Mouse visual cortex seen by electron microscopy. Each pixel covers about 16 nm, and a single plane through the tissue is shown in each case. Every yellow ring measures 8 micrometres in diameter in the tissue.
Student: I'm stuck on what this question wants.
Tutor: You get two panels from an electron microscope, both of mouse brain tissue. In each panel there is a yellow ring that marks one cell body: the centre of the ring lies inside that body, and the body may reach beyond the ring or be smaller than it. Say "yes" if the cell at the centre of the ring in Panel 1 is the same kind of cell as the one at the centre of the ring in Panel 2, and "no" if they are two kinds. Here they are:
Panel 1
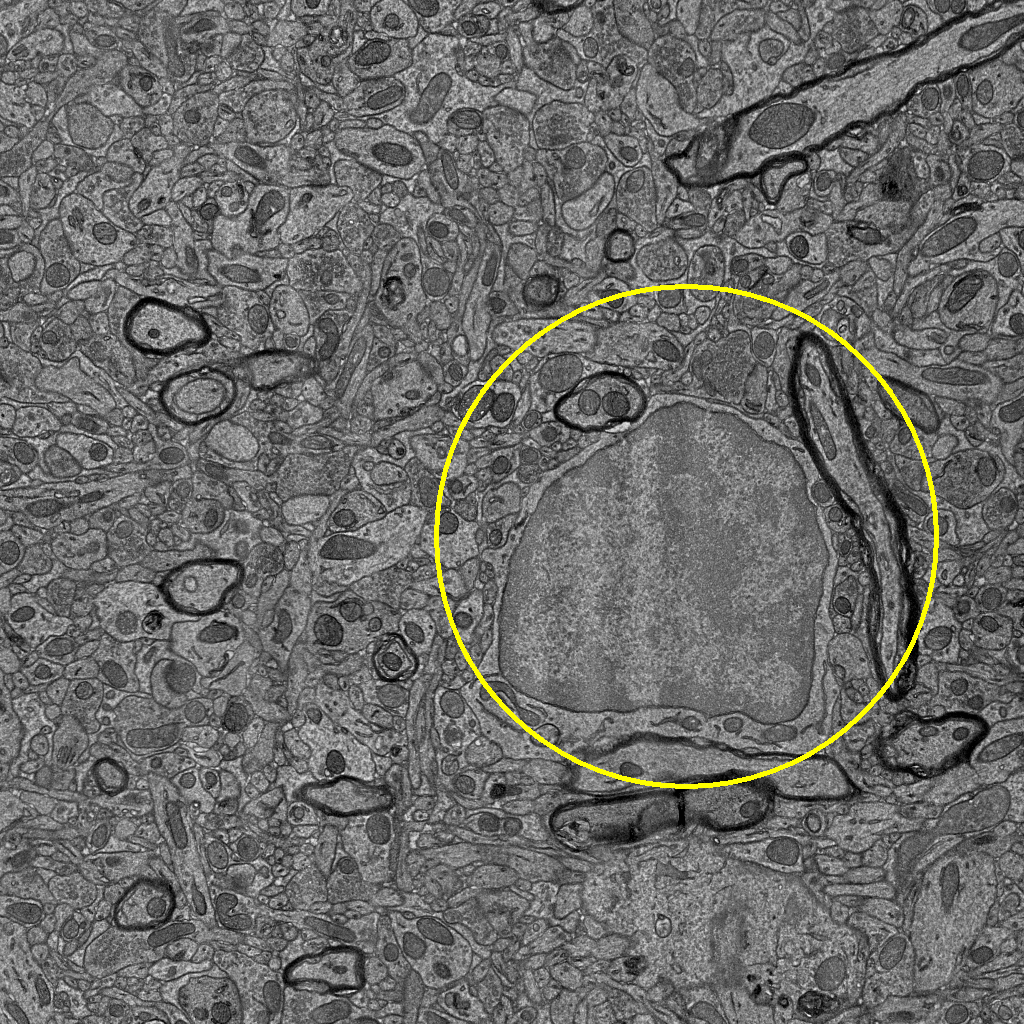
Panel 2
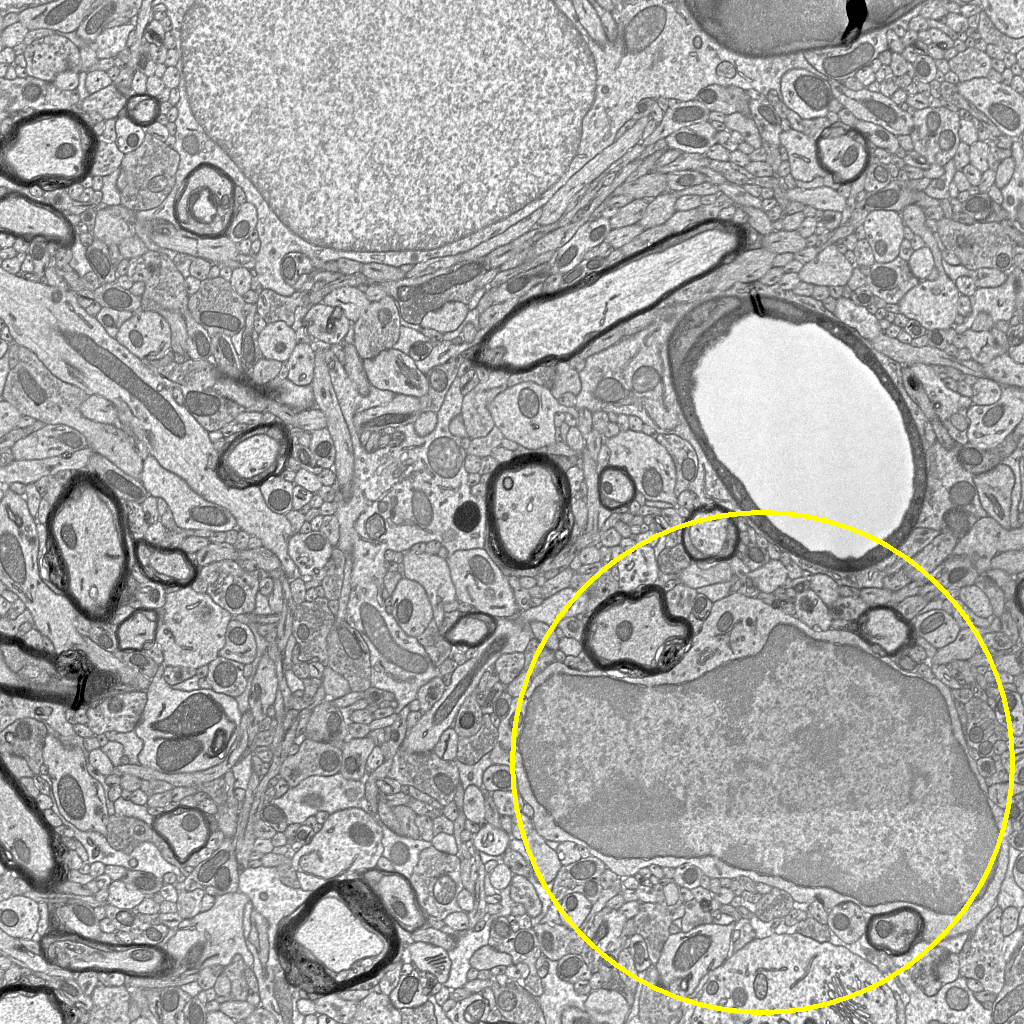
yes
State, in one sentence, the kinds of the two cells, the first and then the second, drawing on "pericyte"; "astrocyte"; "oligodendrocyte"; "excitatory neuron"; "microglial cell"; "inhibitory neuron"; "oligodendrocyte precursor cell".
Both rings mark a microglial cell, one in each picture.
